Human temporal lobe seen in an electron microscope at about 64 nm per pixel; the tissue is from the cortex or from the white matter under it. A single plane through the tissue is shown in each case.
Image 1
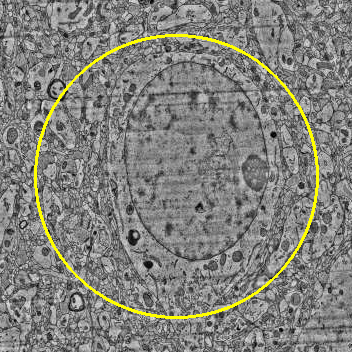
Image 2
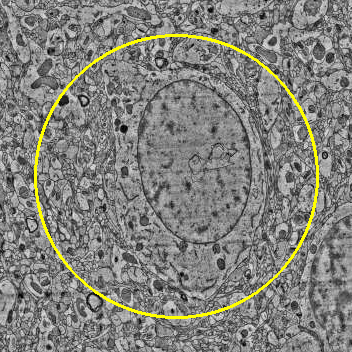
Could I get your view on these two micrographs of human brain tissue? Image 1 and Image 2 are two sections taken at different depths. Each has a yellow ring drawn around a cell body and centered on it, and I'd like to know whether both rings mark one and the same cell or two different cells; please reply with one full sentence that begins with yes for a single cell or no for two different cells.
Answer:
Yes, a single cell is the subject of both yellow rings.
